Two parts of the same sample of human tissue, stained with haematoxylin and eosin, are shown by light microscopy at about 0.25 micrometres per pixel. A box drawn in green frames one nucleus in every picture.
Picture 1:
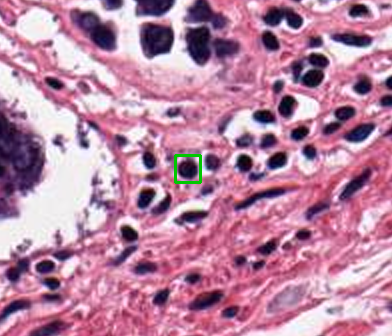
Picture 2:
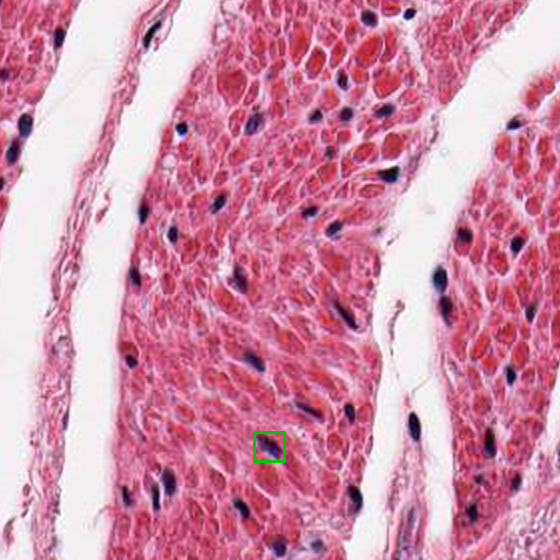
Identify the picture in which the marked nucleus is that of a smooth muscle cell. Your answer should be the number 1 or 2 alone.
2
